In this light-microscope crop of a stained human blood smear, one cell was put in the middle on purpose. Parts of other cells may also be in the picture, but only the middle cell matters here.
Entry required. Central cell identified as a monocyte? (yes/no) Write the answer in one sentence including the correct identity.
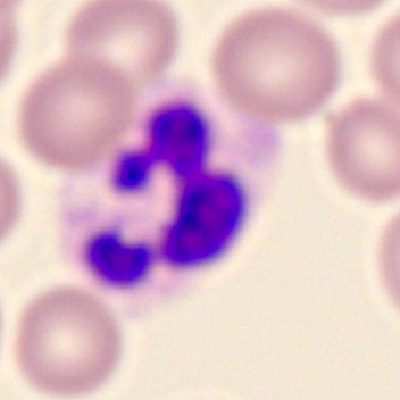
No, the cell located centrally is a segmented neutrophil rather than a monocyte.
